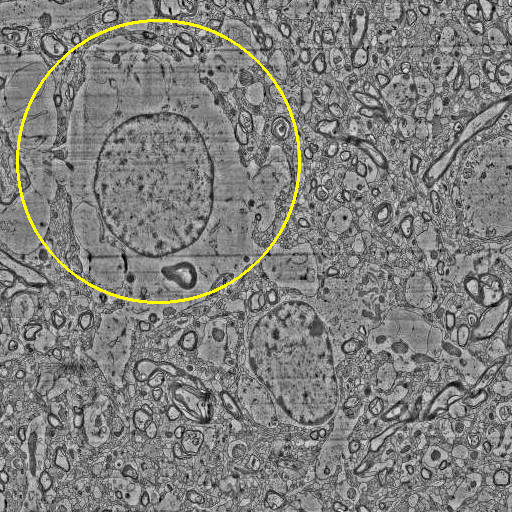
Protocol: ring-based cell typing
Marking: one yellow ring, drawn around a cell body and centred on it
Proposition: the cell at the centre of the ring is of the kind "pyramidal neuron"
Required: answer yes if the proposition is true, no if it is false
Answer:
no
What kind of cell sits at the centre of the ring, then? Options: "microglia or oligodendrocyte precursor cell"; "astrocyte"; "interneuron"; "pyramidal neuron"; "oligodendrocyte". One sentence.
The cell ringed in the picture is an astrocyte.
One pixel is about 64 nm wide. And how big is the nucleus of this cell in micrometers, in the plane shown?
The nucleus is approximately 9 micrometers long by 8 micrometers wide in this plane.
